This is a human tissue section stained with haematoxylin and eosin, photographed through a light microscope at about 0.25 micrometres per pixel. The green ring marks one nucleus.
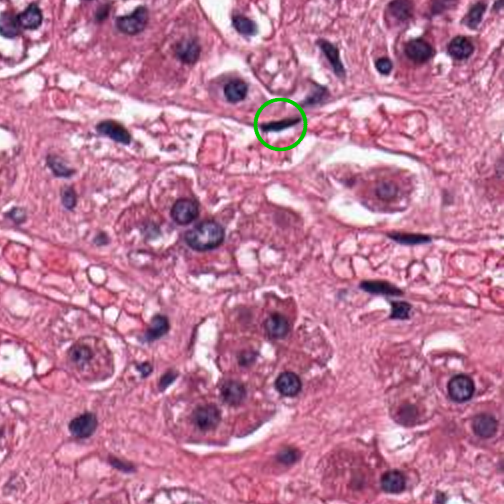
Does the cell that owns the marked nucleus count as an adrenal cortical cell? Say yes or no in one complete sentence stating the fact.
No, the marked nucleus belongs not to an adrenal cortical cell but to a supporting cell of connective tissue, a vessel or the immune system.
